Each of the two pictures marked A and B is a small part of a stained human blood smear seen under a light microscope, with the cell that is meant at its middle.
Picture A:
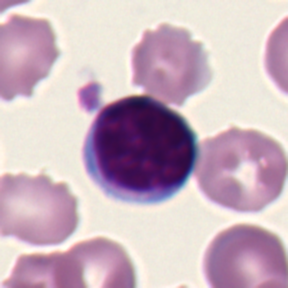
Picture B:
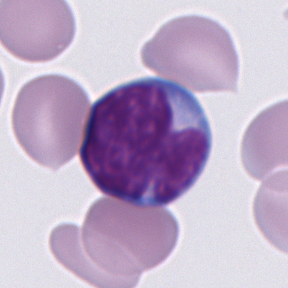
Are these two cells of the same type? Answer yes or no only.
yes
